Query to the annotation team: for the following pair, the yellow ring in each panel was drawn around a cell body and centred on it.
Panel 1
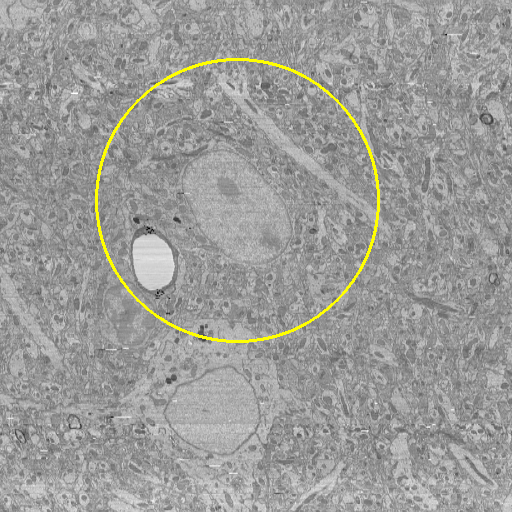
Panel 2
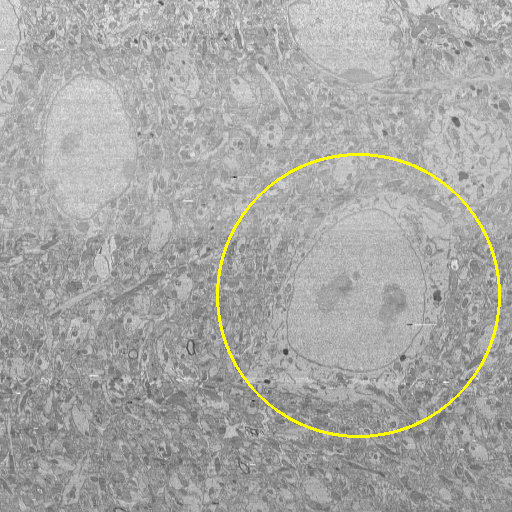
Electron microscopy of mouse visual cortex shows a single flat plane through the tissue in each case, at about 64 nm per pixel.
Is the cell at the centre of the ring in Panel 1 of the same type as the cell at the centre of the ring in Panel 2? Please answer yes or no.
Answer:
no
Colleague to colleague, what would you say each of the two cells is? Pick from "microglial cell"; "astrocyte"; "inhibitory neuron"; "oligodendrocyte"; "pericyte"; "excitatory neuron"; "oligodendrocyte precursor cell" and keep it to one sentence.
The cell in the first picture is an astrocyte; the second picture's cell is an excitatory neuron.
